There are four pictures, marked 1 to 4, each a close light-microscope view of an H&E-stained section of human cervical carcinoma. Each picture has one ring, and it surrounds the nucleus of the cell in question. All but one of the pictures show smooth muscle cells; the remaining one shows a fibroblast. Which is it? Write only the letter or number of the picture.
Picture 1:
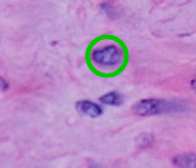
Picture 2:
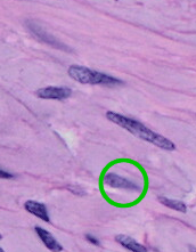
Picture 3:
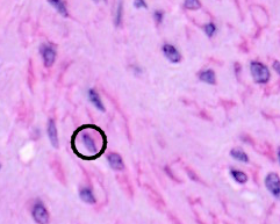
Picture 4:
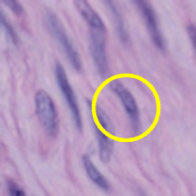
2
